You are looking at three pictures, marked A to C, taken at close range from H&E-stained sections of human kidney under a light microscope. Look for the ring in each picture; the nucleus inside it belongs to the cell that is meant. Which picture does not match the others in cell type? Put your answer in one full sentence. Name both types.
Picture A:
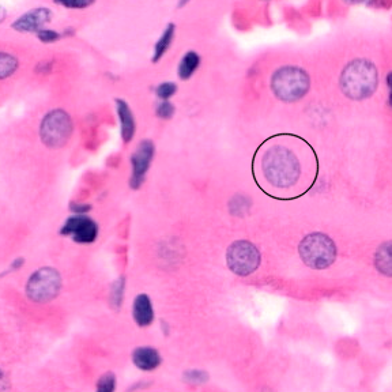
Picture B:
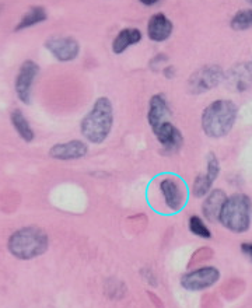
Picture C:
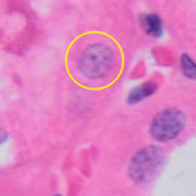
The others show proximal tubule cells, but picture B shows an endothelial cell.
